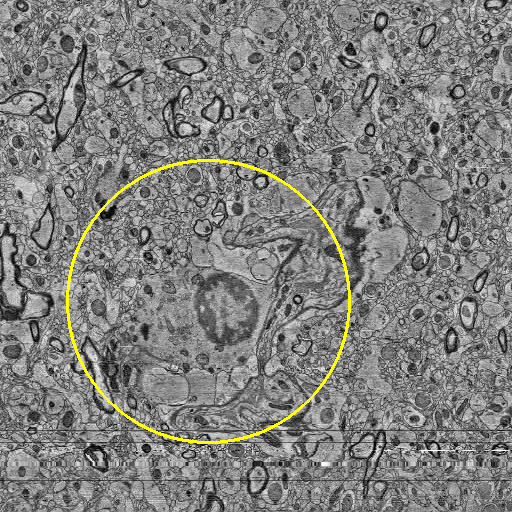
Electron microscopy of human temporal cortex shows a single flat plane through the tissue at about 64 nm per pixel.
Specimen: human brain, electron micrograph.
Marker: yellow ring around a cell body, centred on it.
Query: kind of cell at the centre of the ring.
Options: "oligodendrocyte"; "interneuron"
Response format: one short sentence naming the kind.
This cell body belongs to an oligodendrocyte.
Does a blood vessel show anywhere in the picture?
Yes.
